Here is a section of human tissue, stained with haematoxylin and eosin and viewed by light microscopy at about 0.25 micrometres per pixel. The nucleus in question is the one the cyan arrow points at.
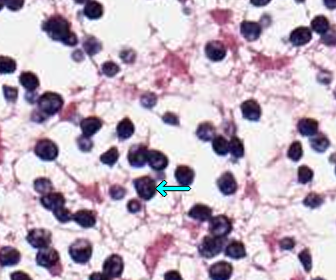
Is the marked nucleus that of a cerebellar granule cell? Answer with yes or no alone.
yes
